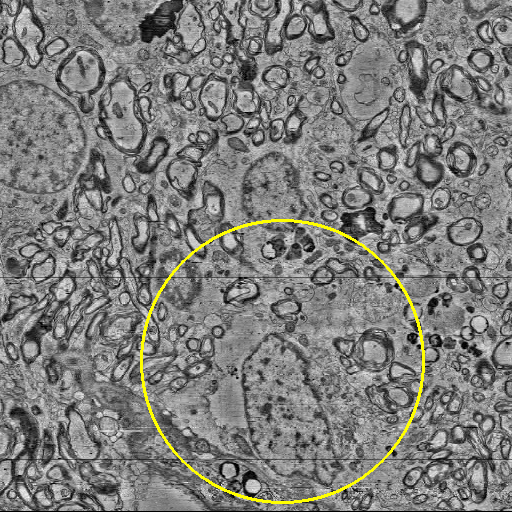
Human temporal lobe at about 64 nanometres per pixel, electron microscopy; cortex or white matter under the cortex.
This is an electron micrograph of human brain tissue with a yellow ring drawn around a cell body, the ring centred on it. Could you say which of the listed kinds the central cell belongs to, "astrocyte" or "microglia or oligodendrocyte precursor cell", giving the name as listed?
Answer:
astrocyte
